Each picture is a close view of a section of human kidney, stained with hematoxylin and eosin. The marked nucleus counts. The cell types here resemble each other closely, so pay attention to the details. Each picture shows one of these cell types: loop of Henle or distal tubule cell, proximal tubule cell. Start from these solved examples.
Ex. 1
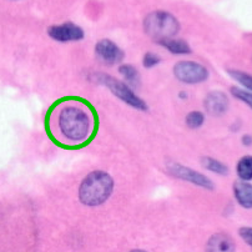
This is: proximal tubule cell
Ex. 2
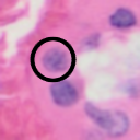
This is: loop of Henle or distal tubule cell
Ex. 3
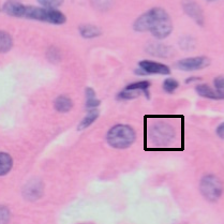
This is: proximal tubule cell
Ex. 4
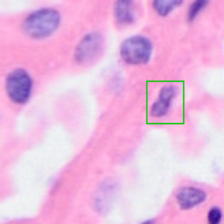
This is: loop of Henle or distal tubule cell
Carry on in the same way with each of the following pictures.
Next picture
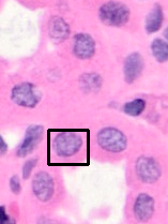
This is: loop of Henle or distal tubule cell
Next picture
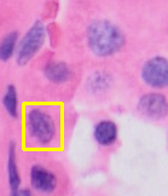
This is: loop of Henle or distal tubule cell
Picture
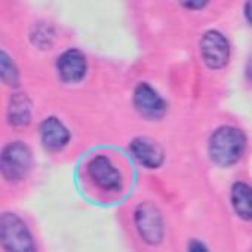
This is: loop of Henle or distal tubule cell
